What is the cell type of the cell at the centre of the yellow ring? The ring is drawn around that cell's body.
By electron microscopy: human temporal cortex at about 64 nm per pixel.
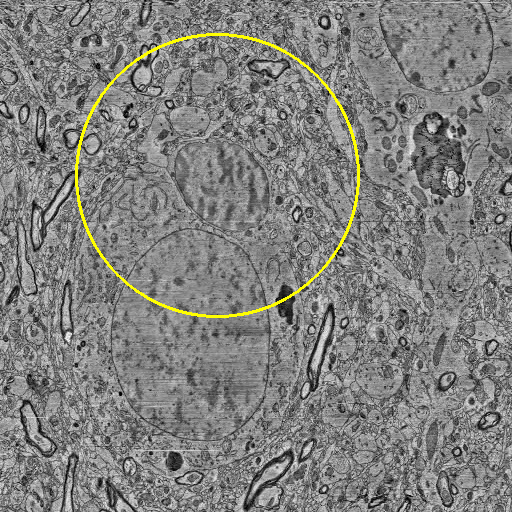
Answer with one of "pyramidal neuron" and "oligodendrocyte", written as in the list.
oligodendrocyte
